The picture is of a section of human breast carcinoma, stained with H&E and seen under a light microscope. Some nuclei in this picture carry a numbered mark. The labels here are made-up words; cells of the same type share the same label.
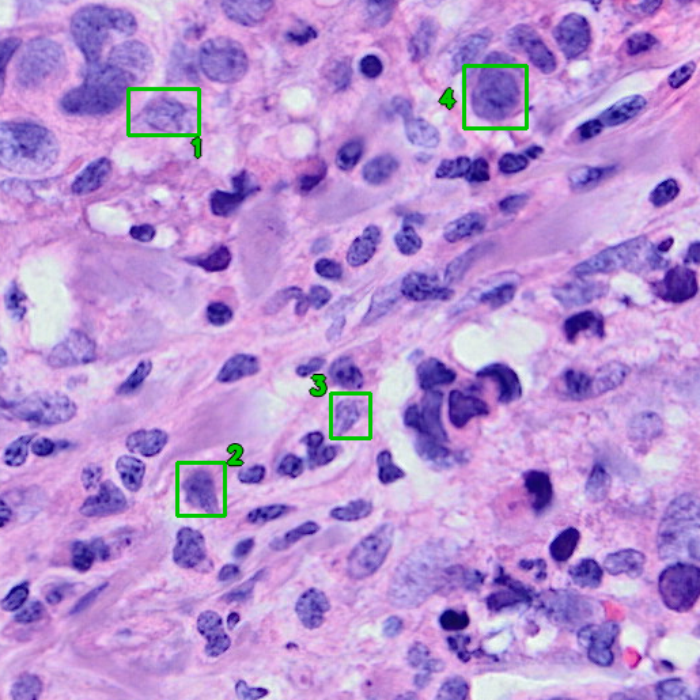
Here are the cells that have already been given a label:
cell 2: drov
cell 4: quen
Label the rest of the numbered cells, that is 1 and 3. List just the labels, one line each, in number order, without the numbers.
quen
drov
